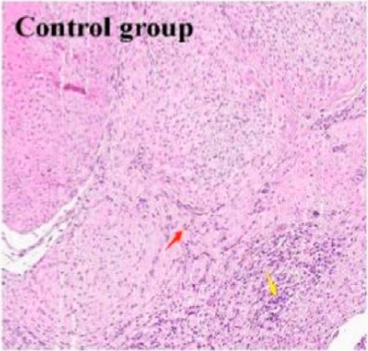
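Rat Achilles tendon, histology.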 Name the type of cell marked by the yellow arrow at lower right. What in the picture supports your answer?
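The arrow lies in a patch crowded with small dark purple nuclei. That patch stands out from the paler pink fibrous tissue around it.
Inflammatory cells.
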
